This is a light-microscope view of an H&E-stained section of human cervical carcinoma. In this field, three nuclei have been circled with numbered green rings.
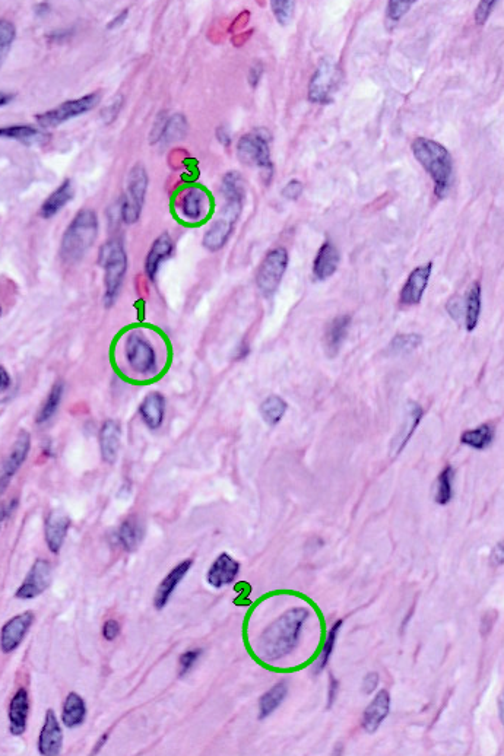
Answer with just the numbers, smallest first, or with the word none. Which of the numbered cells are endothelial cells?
1, 3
